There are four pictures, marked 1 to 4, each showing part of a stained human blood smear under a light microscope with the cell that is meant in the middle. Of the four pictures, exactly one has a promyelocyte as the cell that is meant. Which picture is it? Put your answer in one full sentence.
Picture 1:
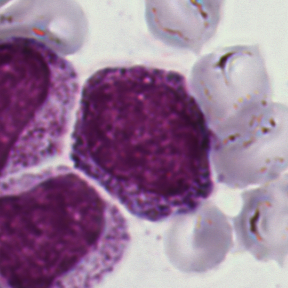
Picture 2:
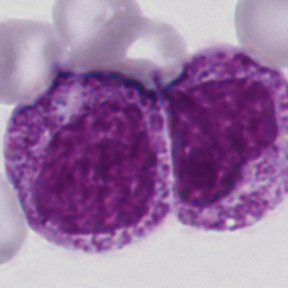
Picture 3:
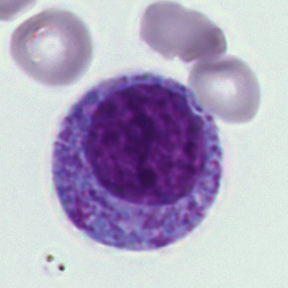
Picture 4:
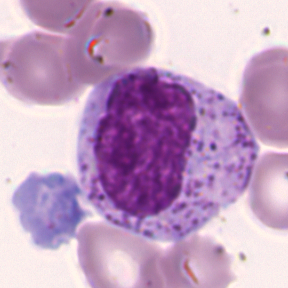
The cell in picture 3 is the promyelocyte.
